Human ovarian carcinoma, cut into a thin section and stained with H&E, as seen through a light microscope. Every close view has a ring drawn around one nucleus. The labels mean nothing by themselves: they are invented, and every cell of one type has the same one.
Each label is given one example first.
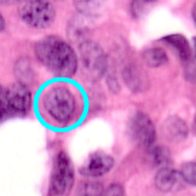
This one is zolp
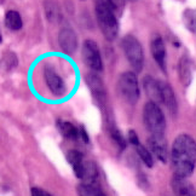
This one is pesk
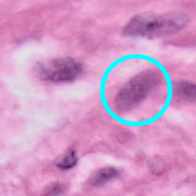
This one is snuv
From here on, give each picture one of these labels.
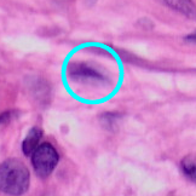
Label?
snuv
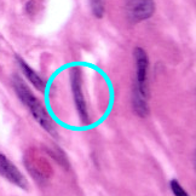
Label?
snuv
